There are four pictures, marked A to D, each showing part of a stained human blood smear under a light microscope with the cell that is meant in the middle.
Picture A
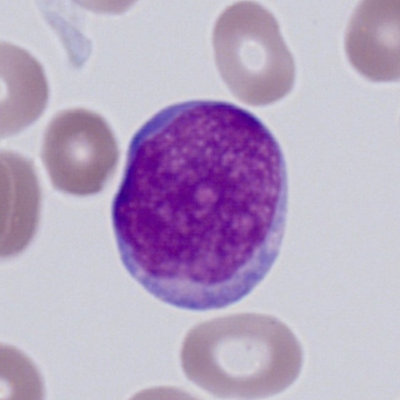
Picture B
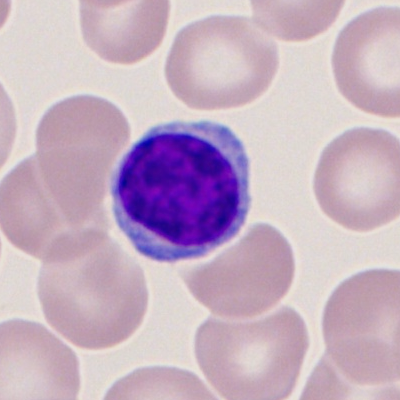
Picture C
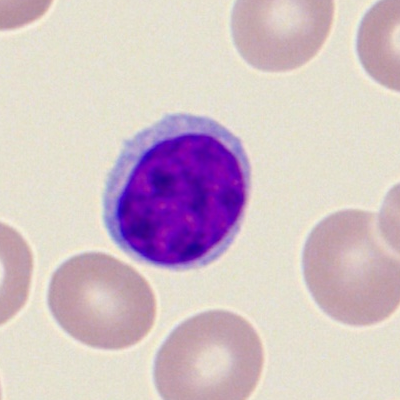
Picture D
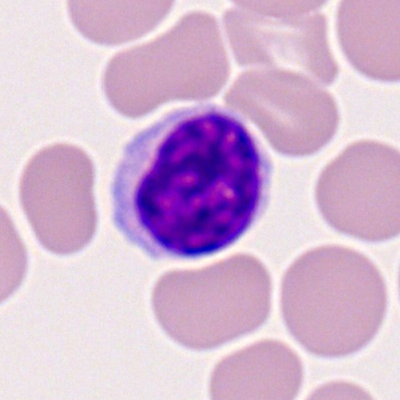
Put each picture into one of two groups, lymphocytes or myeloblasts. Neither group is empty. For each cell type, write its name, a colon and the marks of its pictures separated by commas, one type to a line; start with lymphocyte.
lymphocyte: B, C, D
myeloblast: A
